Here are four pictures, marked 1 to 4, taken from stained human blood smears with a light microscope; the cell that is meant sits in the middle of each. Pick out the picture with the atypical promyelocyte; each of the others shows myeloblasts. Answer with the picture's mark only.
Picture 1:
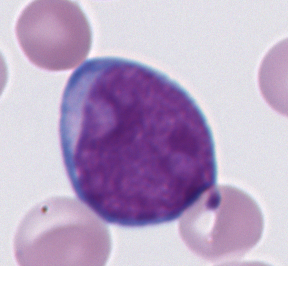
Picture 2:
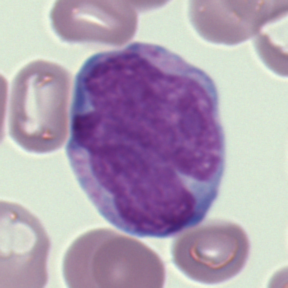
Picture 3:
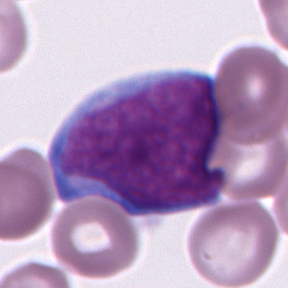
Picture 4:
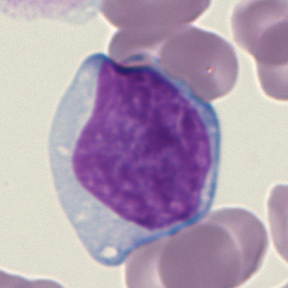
2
